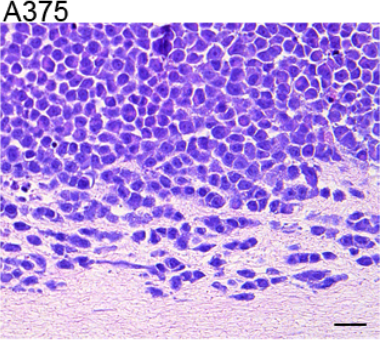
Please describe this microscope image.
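Melanoma cells form a dense sheet at the top of this section and spread down into a collagen matrix. In the upper part the cells are packed closely, rounded to polygonal, with large round nuclei and purple-staining cytoplasm. Lower down the cells become looser and many are elongated, lying singly or in short strands between pink collagen fibres. The lowest part of the field is pale pink fibrous matrix with few cells. There is no sharp border between the cell mass and the matrix.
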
